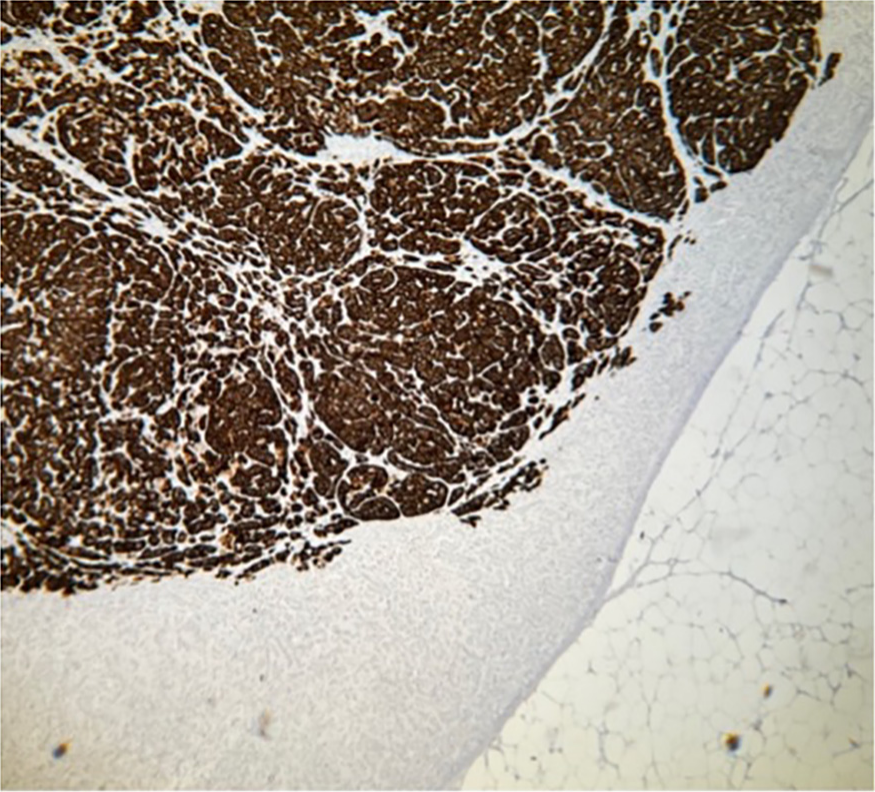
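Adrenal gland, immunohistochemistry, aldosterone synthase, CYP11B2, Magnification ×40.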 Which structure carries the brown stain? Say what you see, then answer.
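A large rounded mass of tissue is strongly stained brown. The brown mass has a sharp border against the surrounding pale tissue. Inside, the brown tissue is split into nests and lobules by thin pale strands.
Hence: nodule.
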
